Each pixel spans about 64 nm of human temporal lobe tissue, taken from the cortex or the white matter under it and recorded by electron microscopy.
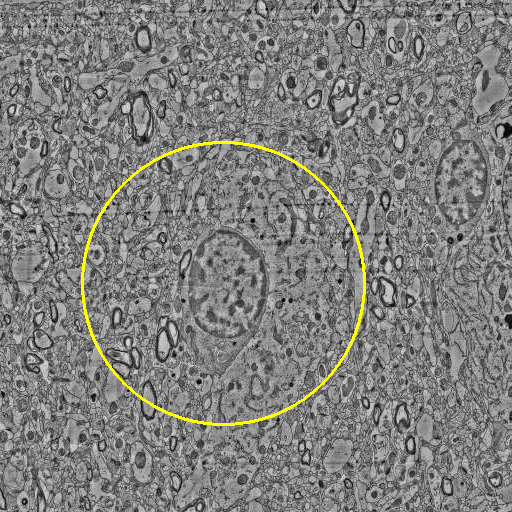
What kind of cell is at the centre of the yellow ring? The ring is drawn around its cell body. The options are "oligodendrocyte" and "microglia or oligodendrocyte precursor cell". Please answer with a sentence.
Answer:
The yellow ring marks the cell body of an oligodendrocyte.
